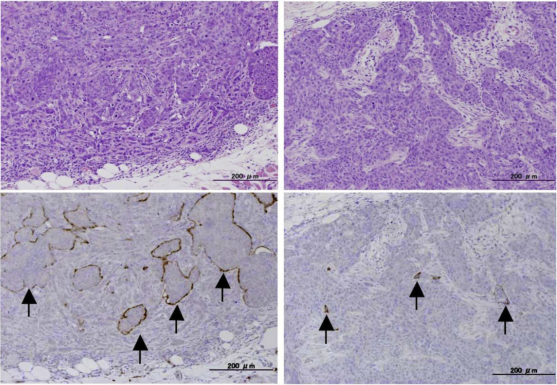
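The upper images show sheets and nests of tumor cells stained pink and purple, with strands of paler stroma between them. At the lower left edge of the left image lie clear, round fat cells. The lower images show the same tumors with brown-lined channels. On the left these channels are large and rounded and enclose whole groups of tumor cells. On the right the brown channels are few and small, appearing as narrow slits in the stroma.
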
